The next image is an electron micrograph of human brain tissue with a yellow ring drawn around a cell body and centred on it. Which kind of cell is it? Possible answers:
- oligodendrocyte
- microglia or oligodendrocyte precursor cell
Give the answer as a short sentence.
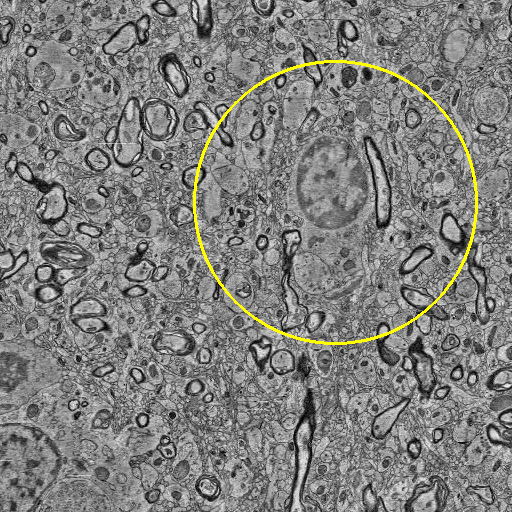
In the ring's centre is an oligodendrocyte.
